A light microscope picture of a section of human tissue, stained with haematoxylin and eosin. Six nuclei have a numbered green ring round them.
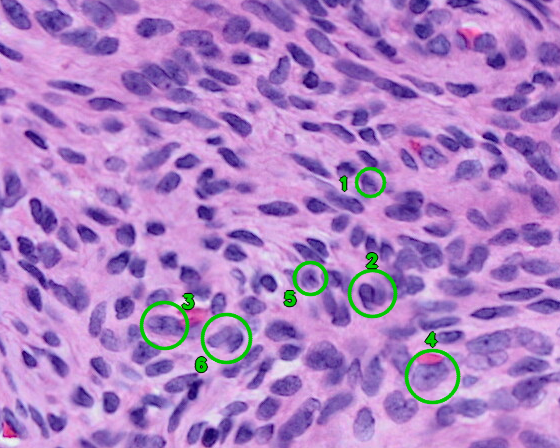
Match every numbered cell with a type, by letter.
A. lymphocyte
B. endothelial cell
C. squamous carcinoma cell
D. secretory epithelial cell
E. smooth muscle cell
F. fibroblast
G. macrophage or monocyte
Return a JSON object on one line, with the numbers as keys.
{"1": "F", "2": "F", "3": "B", "4": "B", "5": "F", "6": "F"}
